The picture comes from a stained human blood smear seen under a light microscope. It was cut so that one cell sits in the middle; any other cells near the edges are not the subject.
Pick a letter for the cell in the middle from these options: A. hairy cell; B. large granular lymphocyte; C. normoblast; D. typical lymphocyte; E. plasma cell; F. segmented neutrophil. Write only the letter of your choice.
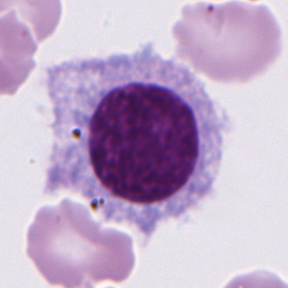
A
